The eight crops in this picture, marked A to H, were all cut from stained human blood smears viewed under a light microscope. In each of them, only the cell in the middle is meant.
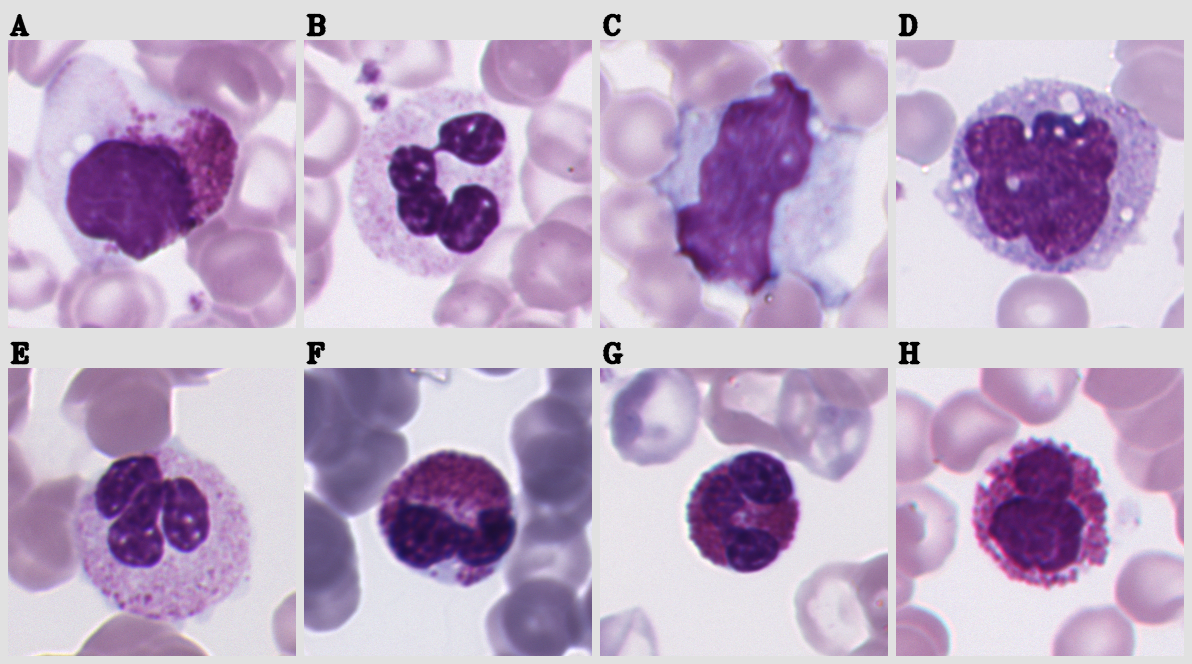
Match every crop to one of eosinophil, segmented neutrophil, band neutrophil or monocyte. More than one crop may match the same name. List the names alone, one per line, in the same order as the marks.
eosinophil
segmented neutrophil
monocyte
monocyte
segmented neutrophil
eosinophil
eosinophil
eosinophil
